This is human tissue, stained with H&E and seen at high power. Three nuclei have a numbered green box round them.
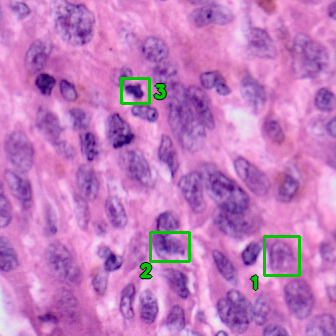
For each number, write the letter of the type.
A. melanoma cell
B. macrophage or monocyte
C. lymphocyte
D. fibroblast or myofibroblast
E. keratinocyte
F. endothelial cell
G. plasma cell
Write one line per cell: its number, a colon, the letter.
1: A
2: A
3: C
